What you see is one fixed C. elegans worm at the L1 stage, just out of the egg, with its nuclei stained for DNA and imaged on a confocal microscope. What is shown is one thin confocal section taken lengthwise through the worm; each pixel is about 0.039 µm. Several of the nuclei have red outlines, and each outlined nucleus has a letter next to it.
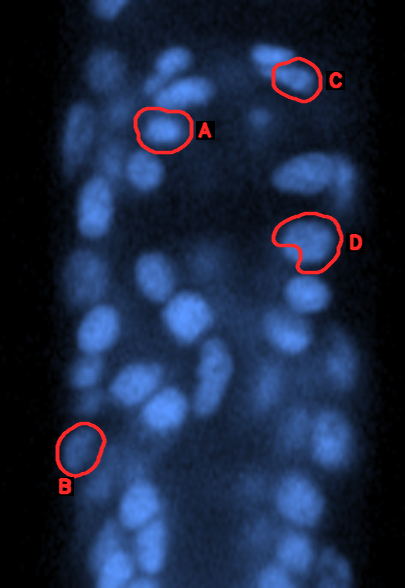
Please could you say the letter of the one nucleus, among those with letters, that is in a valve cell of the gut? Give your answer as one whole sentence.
C is the nucleus of a valve cell of the gut.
